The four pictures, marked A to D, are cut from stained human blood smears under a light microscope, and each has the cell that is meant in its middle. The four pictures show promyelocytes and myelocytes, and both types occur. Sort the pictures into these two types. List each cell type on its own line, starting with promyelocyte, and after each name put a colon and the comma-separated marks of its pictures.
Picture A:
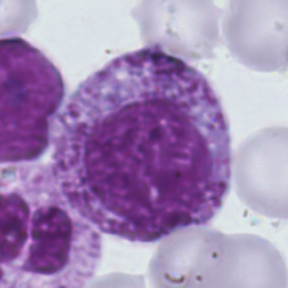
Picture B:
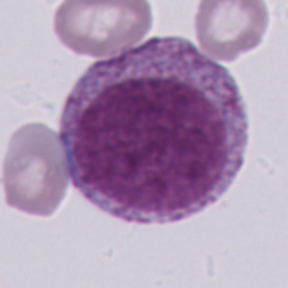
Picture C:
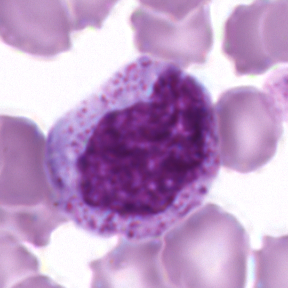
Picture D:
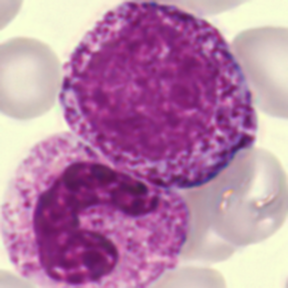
promyelocyte: B, D
myelocyte: A, C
